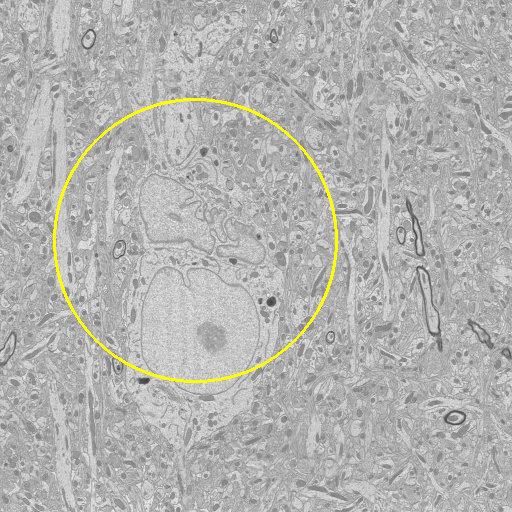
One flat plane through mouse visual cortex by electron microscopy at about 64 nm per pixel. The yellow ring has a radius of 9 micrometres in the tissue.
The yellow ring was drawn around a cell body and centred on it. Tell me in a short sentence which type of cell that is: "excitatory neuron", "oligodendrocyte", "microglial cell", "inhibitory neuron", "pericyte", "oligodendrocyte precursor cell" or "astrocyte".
The cell at the ring's centre is an oligodendrocyte precursor cell.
